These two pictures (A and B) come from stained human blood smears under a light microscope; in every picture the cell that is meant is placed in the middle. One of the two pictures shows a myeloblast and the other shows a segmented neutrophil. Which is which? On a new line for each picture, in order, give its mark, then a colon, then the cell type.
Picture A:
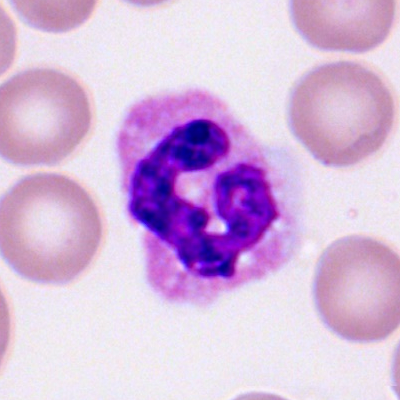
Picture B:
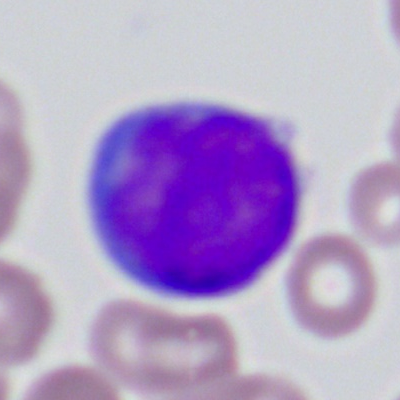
A: segmented neutrophil
B: myeloblast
